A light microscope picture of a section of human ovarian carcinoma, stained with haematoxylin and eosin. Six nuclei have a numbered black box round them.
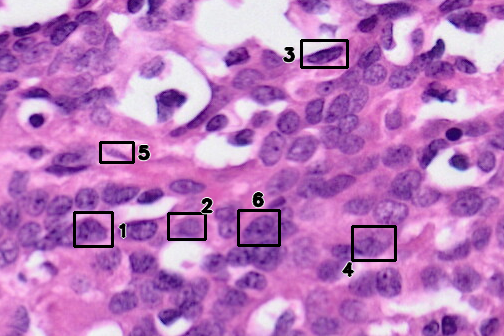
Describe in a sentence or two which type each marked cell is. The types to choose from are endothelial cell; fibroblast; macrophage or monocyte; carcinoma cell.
Cell 1 is a carcinoma cell, cell 2 is a carcinoma cell, cell 3 is a macrophage or monocyte, cell 4 is a carcinoma cell, cell 5 is an endothelial cell and cell 6 is a carcinoma cell.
